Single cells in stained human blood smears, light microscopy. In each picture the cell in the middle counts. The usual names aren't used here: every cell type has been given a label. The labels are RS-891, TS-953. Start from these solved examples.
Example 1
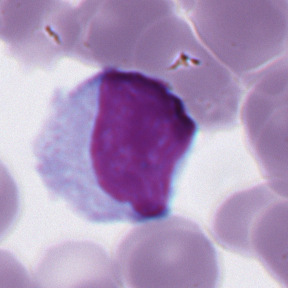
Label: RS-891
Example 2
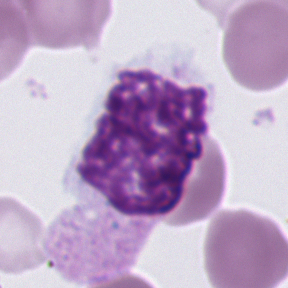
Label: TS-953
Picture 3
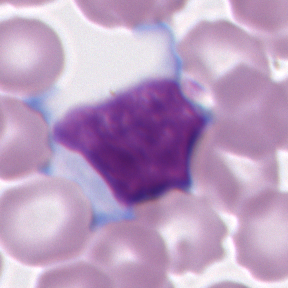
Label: RS-891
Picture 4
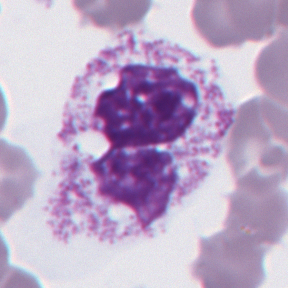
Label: TS-953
